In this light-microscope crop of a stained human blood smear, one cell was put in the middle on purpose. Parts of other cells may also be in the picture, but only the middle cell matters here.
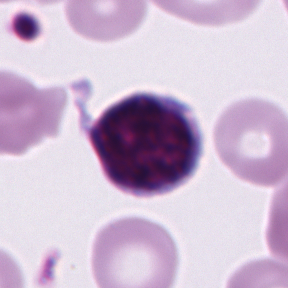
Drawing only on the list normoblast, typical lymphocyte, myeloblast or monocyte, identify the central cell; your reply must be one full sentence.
The cell featured at the centre of this crop is a typical lymphocyte.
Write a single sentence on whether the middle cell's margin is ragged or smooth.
The outline traces a smooth curve with no projections along it.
